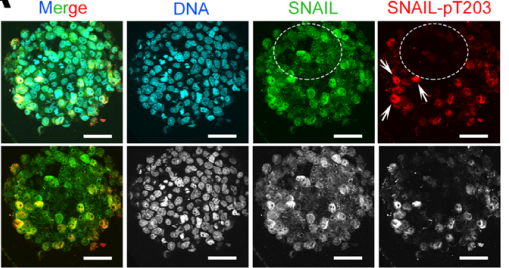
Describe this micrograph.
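A compact, roughly round sphere of many tightly packed cells is shown in several channels and in merged views. Red signal is much sparser and marks only scattered cells, several of them bright and lying toward the edge of the sphere where white arrows point. A dashed circle in the upper part of the sphere encloses cells that are green but show little red. In the merged views the red-marked cells appear yellow to orange against a field of mostly green cells.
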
